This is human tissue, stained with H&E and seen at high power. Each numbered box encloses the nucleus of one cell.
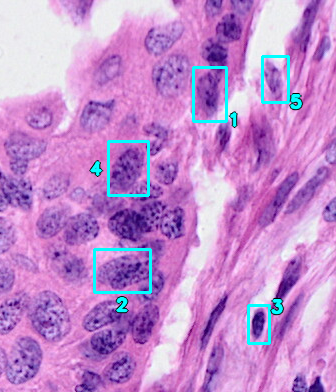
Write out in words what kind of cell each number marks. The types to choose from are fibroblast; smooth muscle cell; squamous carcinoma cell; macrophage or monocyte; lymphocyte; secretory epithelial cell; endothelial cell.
Cells 1, 2 and 4 are squamous carcinoma cells. Cell 3 is a lymphocyte. Cell 5 is a fibroblast.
